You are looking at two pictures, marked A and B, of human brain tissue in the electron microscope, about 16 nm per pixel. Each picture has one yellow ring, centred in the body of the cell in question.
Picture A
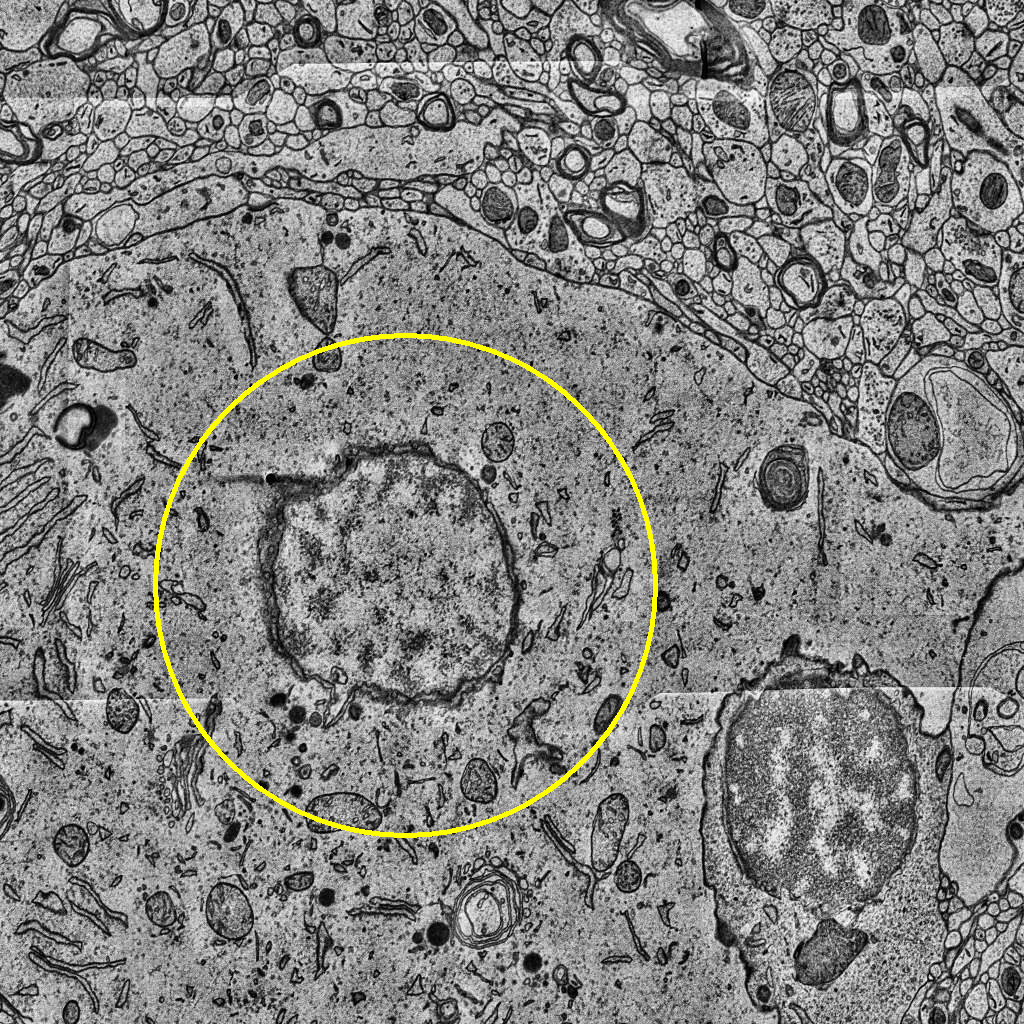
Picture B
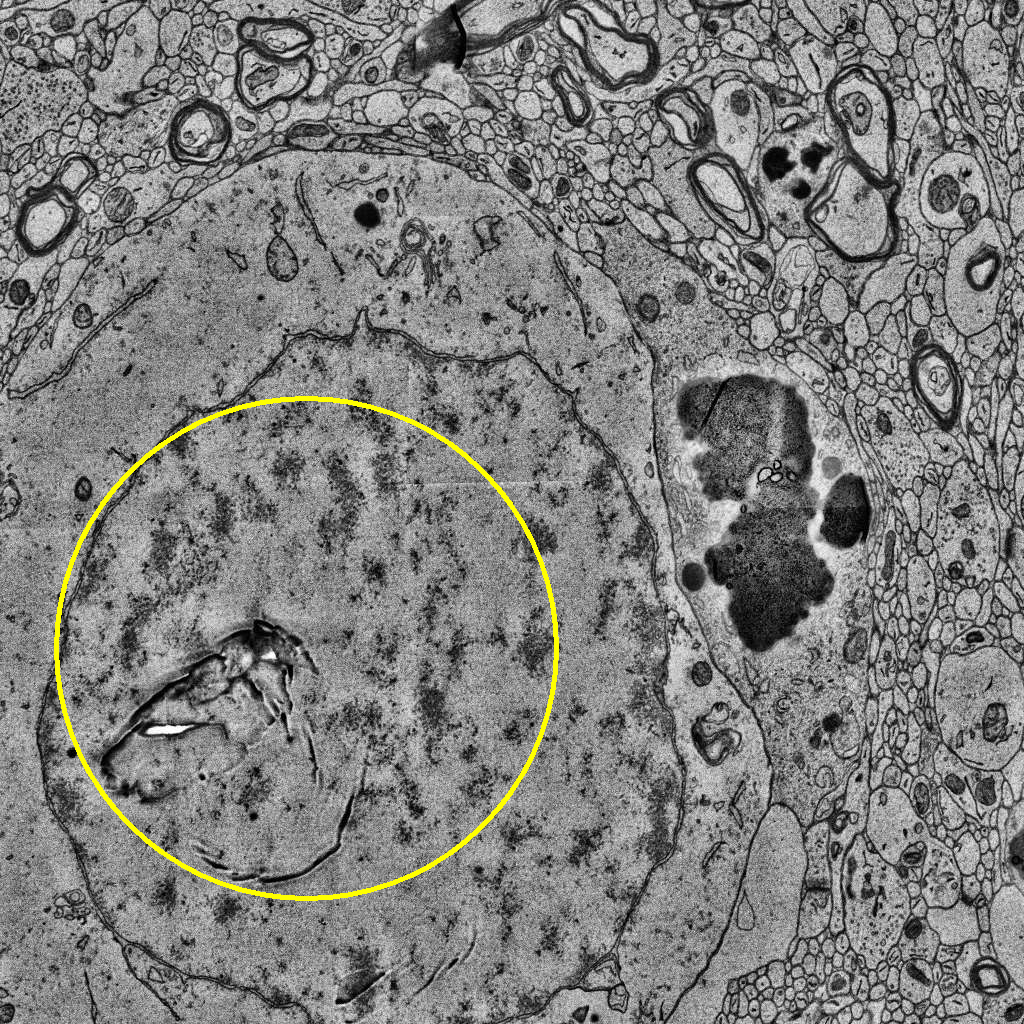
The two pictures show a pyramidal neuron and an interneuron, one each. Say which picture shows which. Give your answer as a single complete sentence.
Picture A shows a pyramidal neuron and picture B shows an interneuron.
